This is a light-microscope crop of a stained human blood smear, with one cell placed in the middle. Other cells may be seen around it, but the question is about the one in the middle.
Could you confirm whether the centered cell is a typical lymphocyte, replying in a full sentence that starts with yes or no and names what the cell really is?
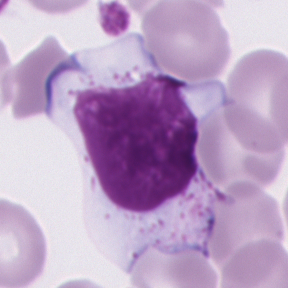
No, the middle cell is not a typical lymphocyte, it being a large granular lymphocyte.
